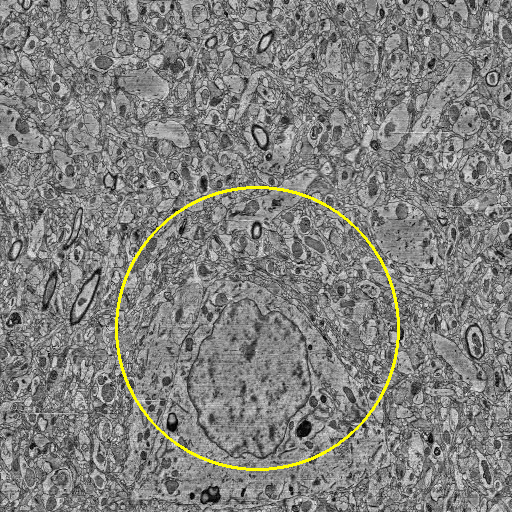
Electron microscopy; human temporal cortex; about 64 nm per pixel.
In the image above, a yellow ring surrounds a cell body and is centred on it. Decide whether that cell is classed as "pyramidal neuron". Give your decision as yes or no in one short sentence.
Yes, it is classed as that kind.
